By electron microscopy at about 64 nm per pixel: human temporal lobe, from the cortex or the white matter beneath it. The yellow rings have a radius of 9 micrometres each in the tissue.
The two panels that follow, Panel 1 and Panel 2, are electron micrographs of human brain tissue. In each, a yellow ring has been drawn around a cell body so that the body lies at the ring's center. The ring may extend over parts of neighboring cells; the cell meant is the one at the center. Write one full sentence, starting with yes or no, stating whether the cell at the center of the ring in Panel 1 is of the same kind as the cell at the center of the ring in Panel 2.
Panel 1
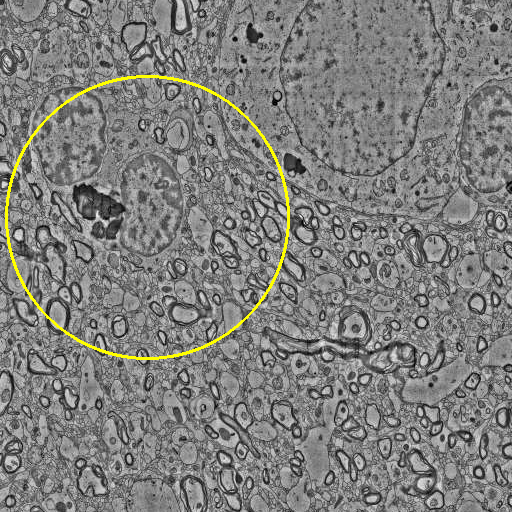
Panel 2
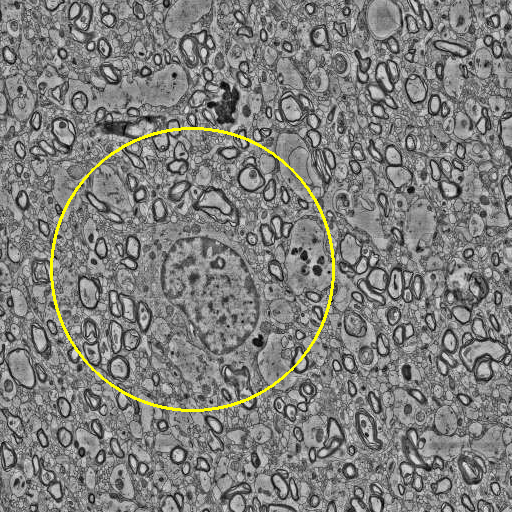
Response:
Yes, the cells in both panels are of the same kind.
